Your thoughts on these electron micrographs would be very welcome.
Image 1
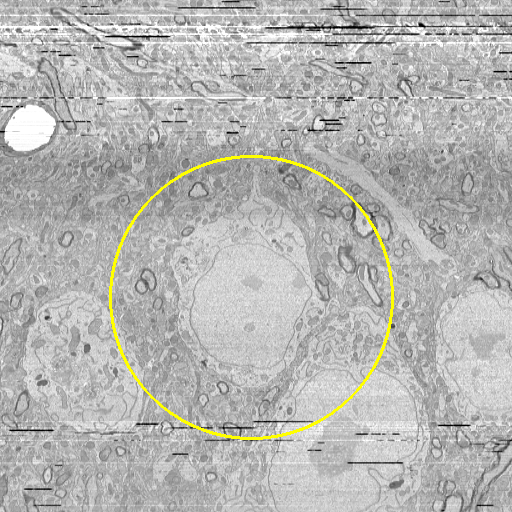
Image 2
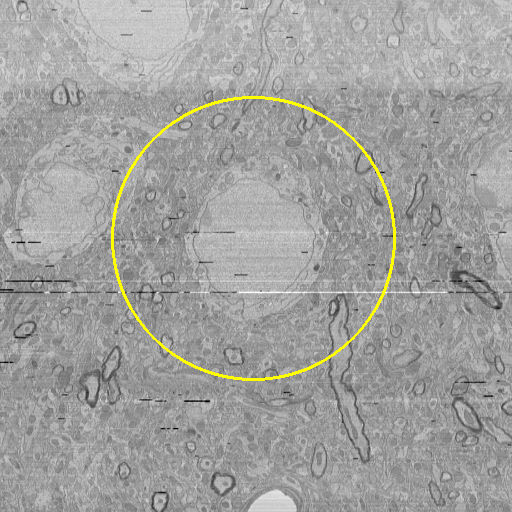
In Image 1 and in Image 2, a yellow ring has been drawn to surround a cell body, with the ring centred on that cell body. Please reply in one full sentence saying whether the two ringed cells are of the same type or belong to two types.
The ringed cells in Image 1 and Image 2 are of the same type.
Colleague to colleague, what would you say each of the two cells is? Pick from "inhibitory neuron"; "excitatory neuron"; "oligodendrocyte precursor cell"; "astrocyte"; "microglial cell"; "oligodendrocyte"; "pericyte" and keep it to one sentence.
The ring centre holds an excitatory neuron in each of the two pictures.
